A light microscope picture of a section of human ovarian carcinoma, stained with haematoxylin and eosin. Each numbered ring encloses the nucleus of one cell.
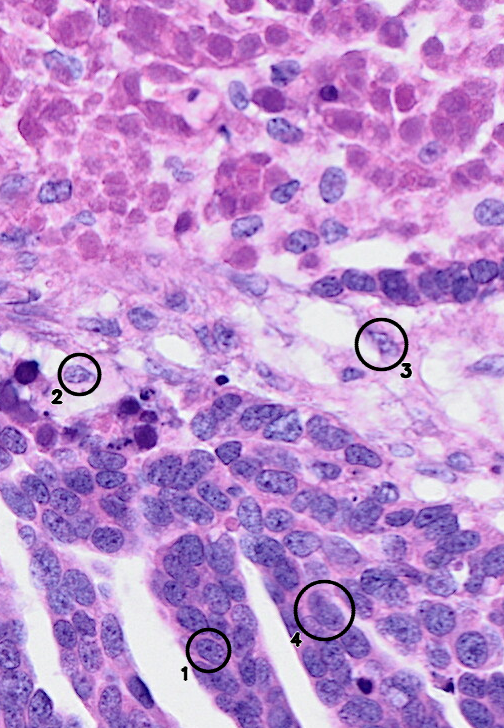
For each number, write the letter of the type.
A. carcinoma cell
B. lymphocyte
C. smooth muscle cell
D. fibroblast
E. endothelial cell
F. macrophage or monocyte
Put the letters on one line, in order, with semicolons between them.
A; F; D; A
